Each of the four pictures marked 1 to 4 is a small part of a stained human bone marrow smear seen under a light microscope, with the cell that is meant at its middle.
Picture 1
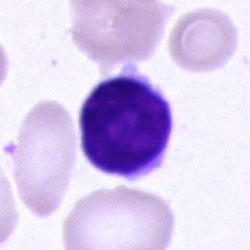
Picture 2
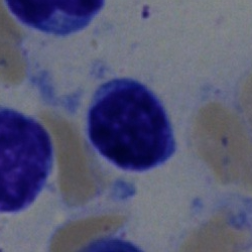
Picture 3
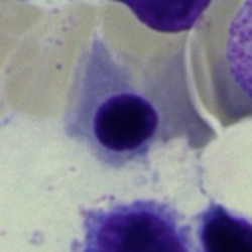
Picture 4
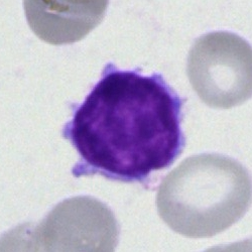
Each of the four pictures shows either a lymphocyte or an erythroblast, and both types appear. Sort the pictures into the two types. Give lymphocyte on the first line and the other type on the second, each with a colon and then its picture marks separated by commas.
lymphocyte: 1, 2, 4
erythroblast: 3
